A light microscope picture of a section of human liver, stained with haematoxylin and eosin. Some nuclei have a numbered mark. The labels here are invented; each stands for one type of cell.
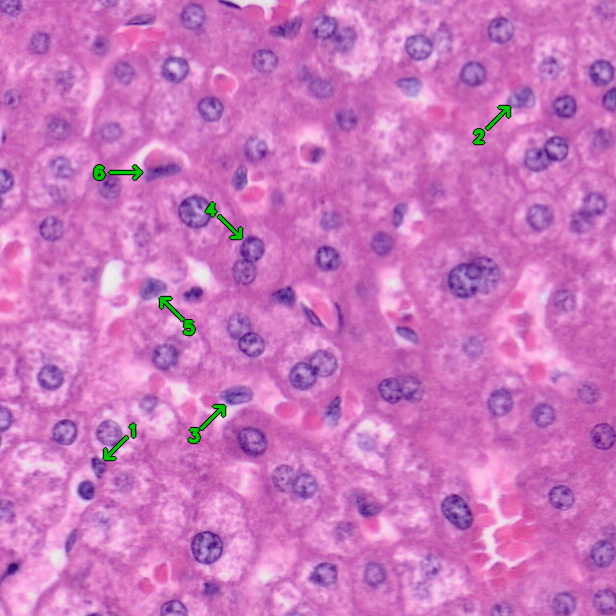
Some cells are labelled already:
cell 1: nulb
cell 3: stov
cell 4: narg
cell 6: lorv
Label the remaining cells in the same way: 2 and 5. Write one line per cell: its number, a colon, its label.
2: lorv
5: stov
